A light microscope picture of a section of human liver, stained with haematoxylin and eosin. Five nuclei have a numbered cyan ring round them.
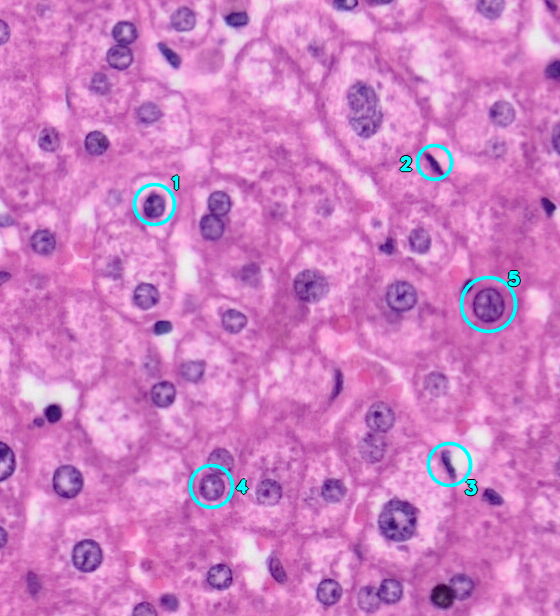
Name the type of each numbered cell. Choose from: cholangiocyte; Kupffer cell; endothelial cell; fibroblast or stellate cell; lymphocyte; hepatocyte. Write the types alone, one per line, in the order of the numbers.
hepatocyte
endothelial cell
endothelial cell
hepatocyte
hepatocyte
